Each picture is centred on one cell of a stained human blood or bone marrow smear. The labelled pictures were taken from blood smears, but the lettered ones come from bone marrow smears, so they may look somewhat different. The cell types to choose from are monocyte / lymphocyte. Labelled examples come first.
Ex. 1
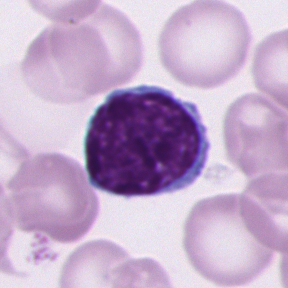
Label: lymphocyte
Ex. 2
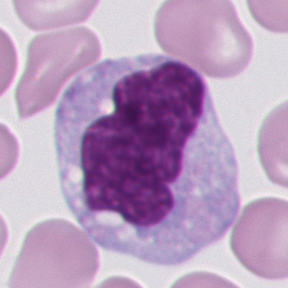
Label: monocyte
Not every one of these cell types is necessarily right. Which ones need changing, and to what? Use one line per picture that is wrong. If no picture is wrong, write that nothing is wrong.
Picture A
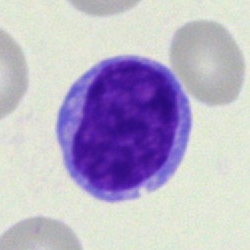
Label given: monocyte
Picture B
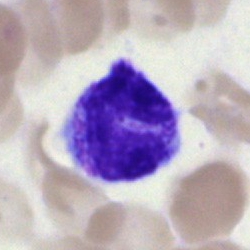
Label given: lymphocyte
A: lymphocyte, not monocyte
B: monocyte, not lymphocyte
